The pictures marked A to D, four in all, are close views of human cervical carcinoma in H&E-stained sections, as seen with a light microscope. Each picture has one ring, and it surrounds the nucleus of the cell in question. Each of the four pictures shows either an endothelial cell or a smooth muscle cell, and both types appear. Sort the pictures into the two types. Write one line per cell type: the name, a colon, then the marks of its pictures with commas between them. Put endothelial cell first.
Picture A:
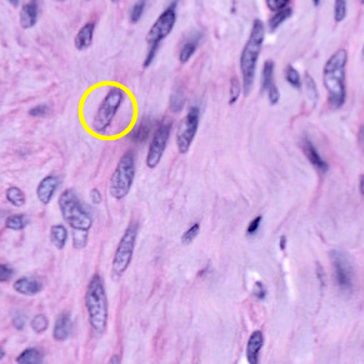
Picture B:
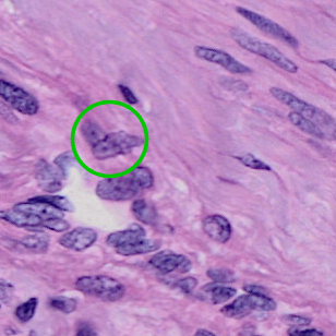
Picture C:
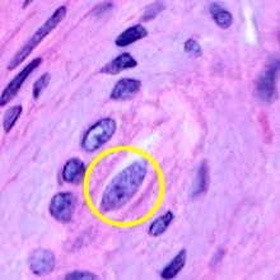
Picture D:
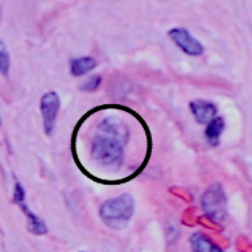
endothelial cell: B, C, D
smooth muscle cell: A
